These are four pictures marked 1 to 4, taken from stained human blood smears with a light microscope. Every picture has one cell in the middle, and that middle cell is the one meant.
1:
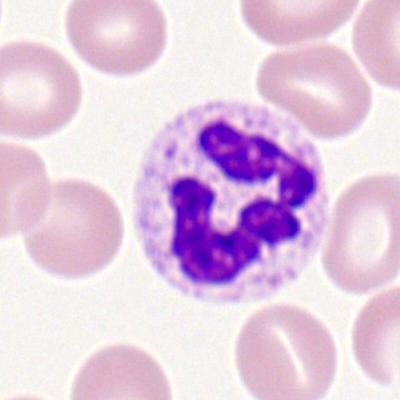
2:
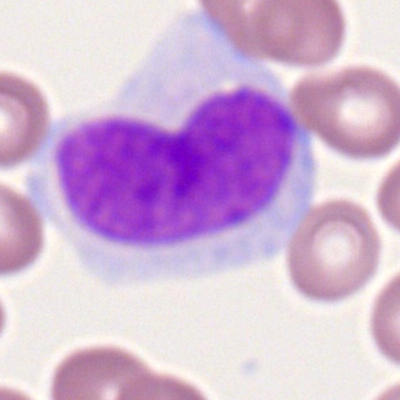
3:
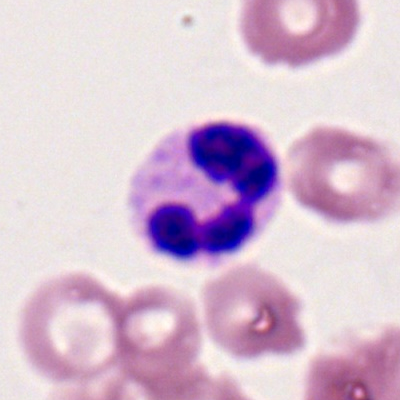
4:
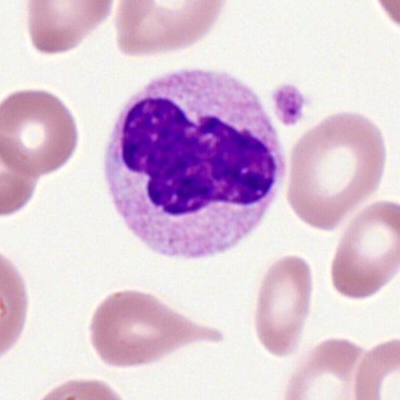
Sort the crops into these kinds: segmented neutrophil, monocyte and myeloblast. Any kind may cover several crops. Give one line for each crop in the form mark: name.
1: segmented neutrophil
2: monocyte
3: segmented neutrophil
4: segmented neutrophil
